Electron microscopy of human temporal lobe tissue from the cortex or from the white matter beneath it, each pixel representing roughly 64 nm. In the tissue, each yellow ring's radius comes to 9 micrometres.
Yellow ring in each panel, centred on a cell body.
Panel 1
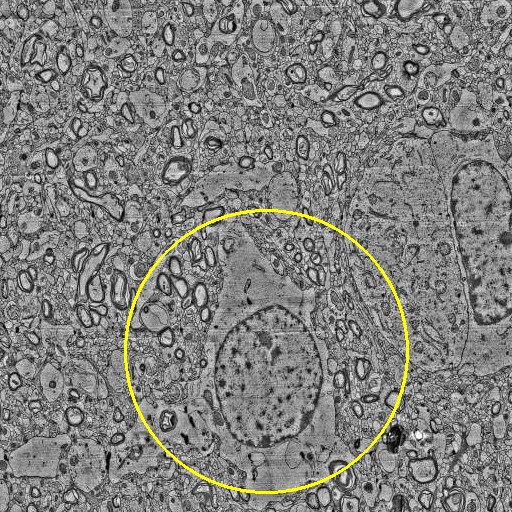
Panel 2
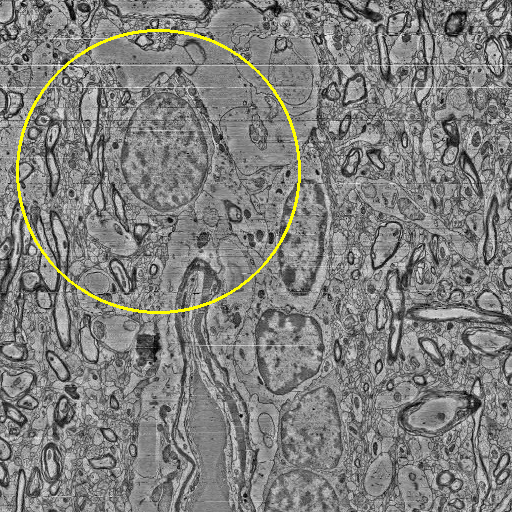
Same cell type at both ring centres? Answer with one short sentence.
No, the two cells are of two types.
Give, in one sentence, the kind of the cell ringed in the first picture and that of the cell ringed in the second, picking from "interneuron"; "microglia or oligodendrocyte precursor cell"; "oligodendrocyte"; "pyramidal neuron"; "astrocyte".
For the first picture it is an astrocyte; for the second, an oligodendrocyte.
